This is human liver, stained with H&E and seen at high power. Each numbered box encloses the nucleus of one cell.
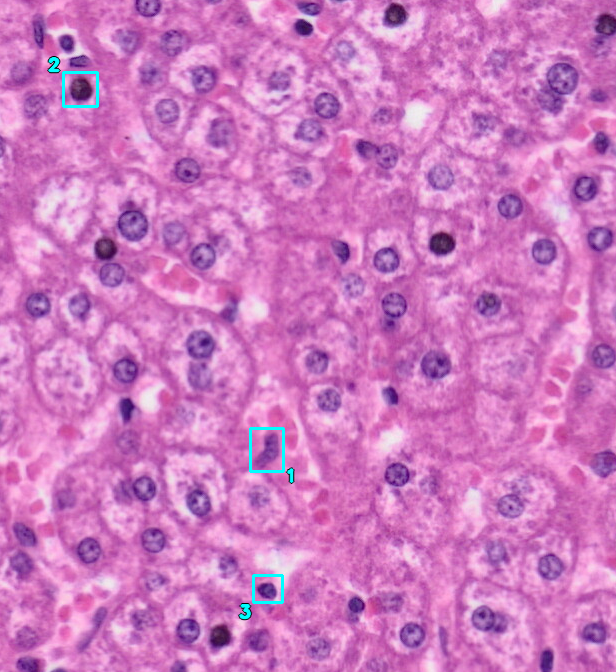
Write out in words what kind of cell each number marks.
Cell 1 is a Kupffer cell. Cell 2 is a hepatocyte. Cell 3 is a lymphocyte.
